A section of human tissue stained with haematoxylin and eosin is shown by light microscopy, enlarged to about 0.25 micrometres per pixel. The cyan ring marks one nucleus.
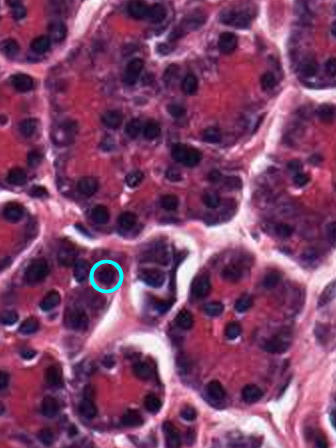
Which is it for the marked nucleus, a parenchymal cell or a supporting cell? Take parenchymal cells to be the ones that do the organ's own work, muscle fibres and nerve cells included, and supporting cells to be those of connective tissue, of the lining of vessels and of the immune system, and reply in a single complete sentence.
The marked nucleus is assigned to a parenchymal cell, namely a pancreatic acinar cell.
